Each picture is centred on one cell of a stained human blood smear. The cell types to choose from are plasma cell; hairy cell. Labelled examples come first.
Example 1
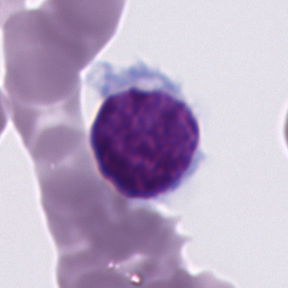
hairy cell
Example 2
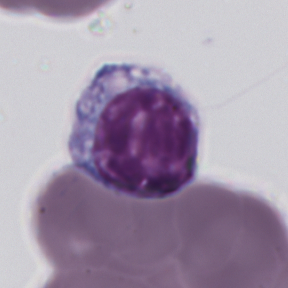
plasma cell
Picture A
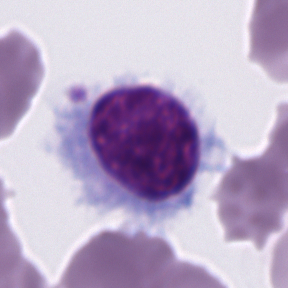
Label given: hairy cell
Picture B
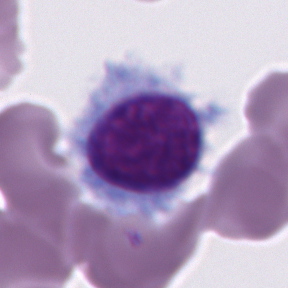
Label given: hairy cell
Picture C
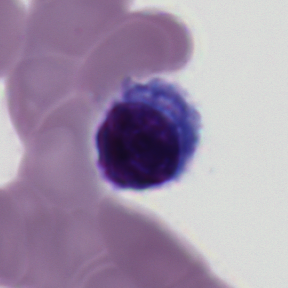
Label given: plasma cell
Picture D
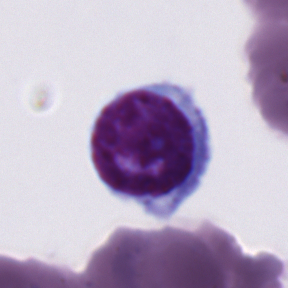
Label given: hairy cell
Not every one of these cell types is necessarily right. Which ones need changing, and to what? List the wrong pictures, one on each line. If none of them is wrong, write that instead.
Nothing to fix; every label fits.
